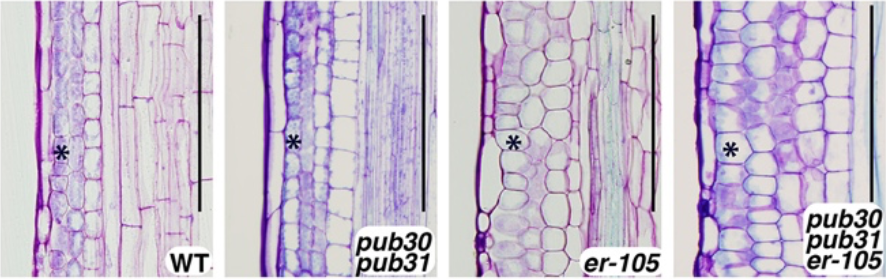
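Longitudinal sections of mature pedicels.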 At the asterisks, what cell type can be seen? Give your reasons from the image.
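Inward of the marked cells lie narrower, elongated cells. The answer: cortex cells.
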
